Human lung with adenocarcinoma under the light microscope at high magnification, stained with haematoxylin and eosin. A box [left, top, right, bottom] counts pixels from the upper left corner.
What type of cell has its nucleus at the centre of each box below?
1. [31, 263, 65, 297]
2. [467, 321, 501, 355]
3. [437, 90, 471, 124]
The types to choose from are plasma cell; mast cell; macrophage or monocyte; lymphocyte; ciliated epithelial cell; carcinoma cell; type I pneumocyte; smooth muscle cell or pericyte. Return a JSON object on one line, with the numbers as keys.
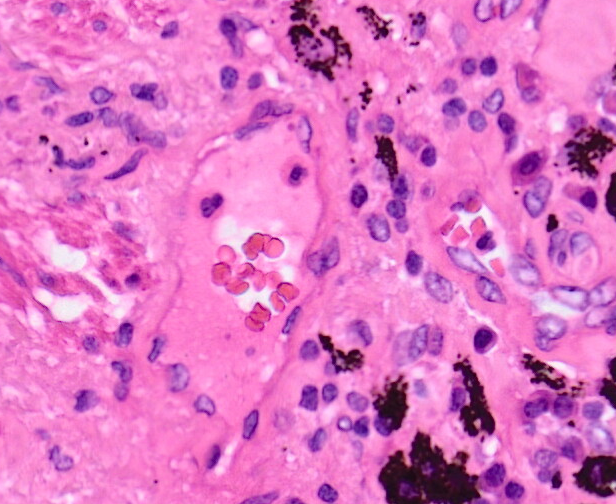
{"1": "smooth muscle cell or pericyte", "2": "plasma cell", "3": "lymphocyte"}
